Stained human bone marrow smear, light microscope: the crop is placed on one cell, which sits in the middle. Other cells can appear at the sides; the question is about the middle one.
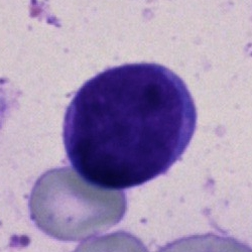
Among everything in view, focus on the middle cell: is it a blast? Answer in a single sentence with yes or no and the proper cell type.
Yes, within this crop, the central cell is a blast.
